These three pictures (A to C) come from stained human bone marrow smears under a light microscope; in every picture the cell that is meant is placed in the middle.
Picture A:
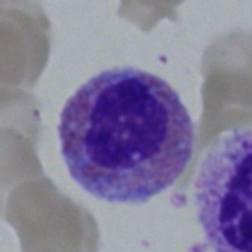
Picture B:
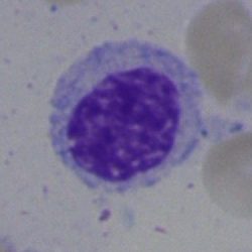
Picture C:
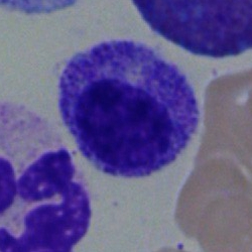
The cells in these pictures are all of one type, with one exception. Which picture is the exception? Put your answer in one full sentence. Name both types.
Unlike the rest, which show myelocytes, picture A shows an eosinophil.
